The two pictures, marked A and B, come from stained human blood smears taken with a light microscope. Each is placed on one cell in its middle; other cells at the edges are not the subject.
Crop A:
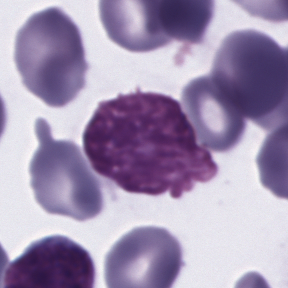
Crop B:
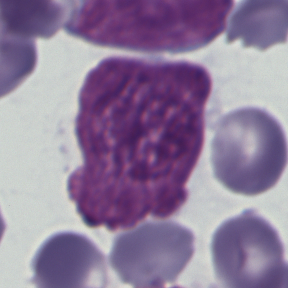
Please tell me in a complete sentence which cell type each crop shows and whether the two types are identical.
Yes, both crops in this set show smudge cells.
